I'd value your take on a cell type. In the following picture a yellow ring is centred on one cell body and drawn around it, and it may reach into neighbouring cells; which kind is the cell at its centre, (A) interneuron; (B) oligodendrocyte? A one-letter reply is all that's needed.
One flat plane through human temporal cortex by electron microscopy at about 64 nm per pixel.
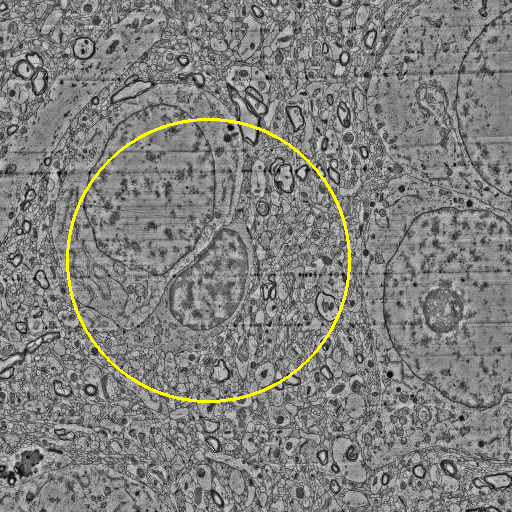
B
